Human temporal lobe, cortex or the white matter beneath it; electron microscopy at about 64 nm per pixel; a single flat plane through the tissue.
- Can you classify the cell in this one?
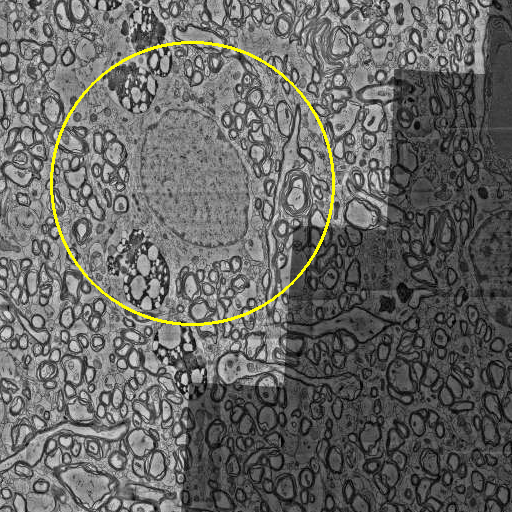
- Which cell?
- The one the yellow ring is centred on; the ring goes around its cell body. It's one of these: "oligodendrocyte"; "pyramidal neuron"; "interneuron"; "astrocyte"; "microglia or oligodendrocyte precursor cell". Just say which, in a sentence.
The cell body in the ring belongs to an astrocyte.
